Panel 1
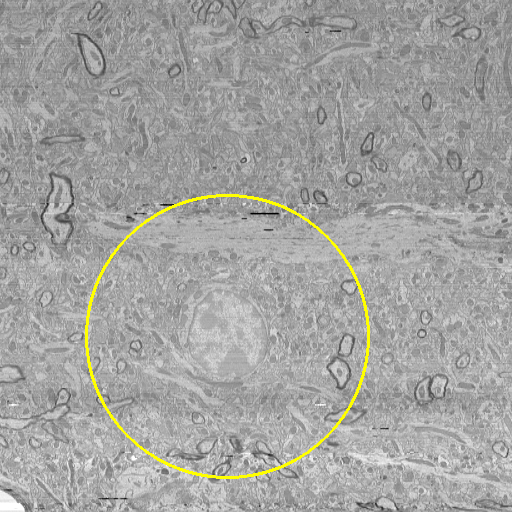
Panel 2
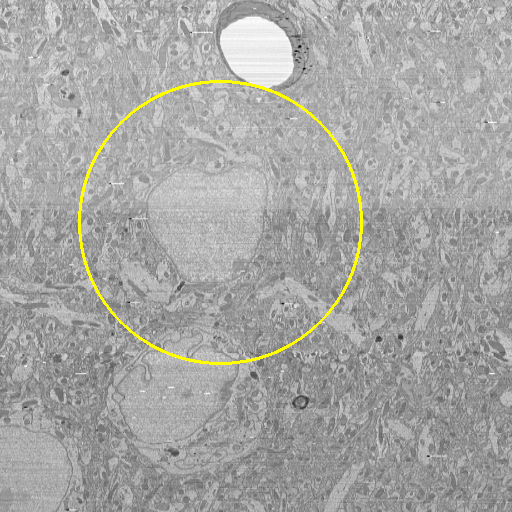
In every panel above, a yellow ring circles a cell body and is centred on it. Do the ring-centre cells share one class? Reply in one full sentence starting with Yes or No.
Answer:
No, the two cells at the ring centres in the panels belong to two classes.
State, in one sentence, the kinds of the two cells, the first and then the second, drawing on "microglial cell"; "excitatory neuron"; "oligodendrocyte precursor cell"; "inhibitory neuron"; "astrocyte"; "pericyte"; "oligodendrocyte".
The ring in the second picture is centred on an astrocyte, the ring in the first on an oligodendrocyte.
